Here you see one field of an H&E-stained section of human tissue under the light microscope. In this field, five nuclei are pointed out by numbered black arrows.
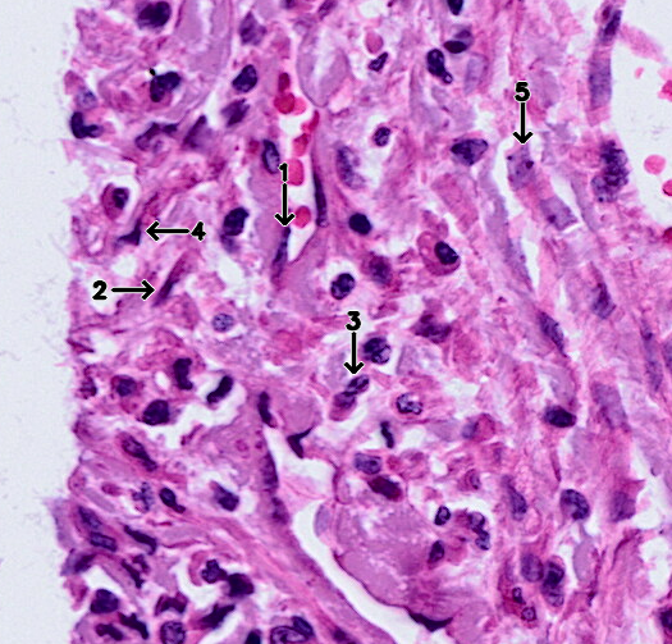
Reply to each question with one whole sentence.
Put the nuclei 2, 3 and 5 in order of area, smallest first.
By area, going up from the smallest, they rank 2, 3, 5.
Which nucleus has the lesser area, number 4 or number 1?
The smaller nucleus is 4, and 1 covers roughly 1.5 times its area.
